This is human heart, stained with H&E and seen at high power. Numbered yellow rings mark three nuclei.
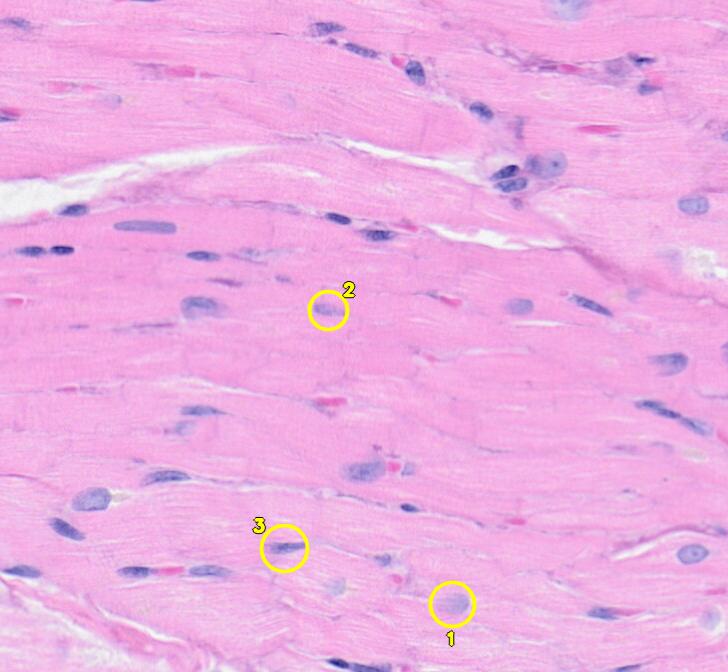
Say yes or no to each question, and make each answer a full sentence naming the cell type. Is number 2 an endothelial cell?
No, cell 2 is identified not as an endothelial cell but as a fibroblast.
